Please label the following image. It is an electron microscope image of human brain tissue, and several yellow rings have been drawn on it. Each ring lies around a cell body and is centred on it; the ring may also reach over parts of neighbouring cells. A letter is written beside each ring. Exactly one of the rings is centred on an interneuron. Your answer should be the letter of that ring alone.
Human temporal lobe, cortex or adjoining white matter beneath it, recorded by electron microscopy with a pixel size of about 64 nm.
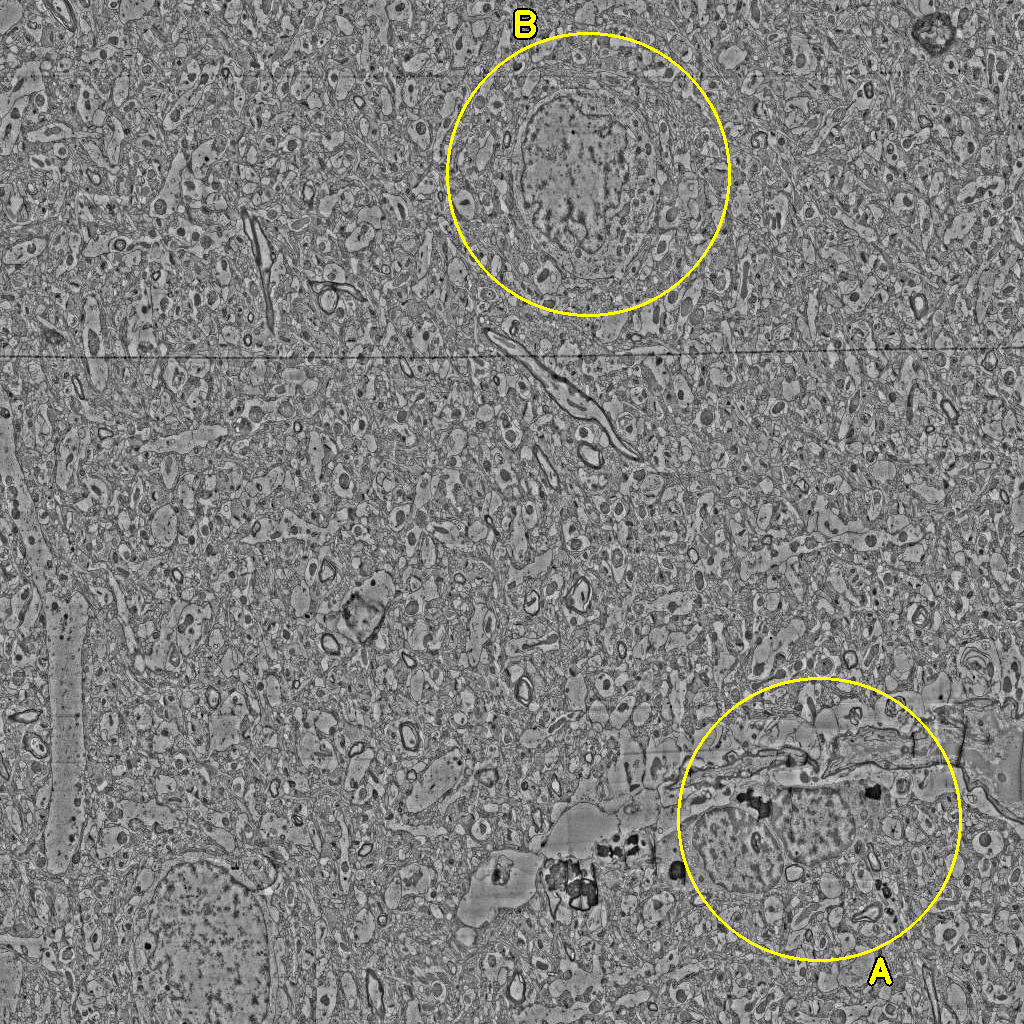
B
